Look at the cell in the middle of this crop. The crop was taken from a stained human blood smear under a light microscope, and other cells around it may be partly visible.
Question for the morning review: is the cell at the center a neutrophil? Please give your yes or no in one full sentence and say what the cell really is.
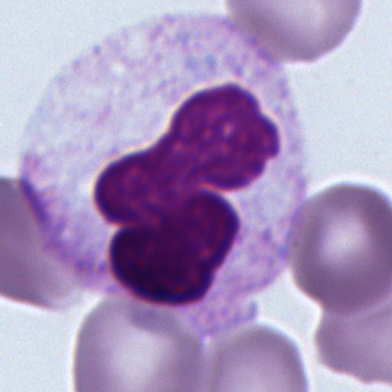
Yes, that is right: the middle cell is a neutrophil.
